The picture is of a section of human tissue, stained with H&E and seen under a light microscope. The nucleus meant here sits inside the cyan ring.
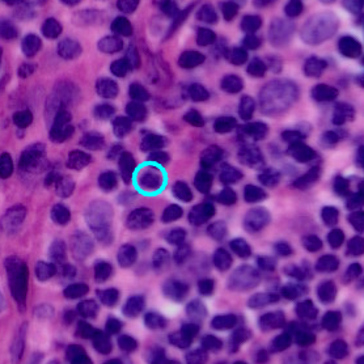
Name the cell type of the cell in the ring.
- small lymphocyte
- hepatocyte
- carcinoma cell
small lymphocyte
